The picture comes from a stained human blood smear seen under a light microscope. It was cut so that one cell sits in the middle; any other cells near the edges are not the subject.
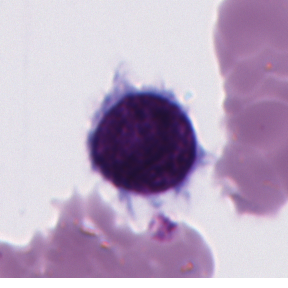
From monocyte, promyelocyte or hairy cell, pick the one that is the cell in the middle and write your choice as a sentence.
The cell at the middle of the frame should be recorded as a hairy cell.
